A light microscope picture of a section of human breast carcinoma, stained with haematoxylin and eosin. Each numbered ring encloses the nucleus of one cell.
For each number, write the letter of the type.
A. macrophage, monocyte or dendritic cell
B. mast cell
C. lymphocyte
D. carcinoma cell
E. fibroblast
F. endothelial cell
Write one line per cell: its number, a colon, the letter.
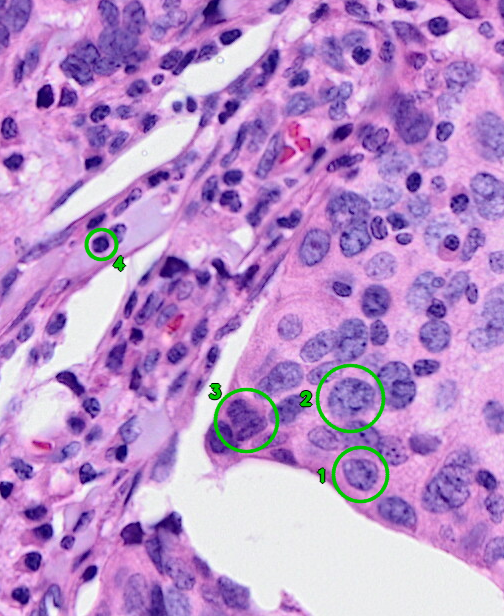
1: D
2: D
3: D
4: C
